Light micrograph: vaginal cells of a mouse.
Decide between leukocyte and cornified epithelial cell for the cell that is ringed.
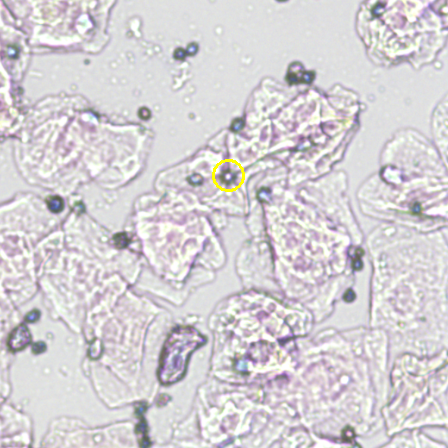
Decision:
I take the ringed cell for a leukocyte.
